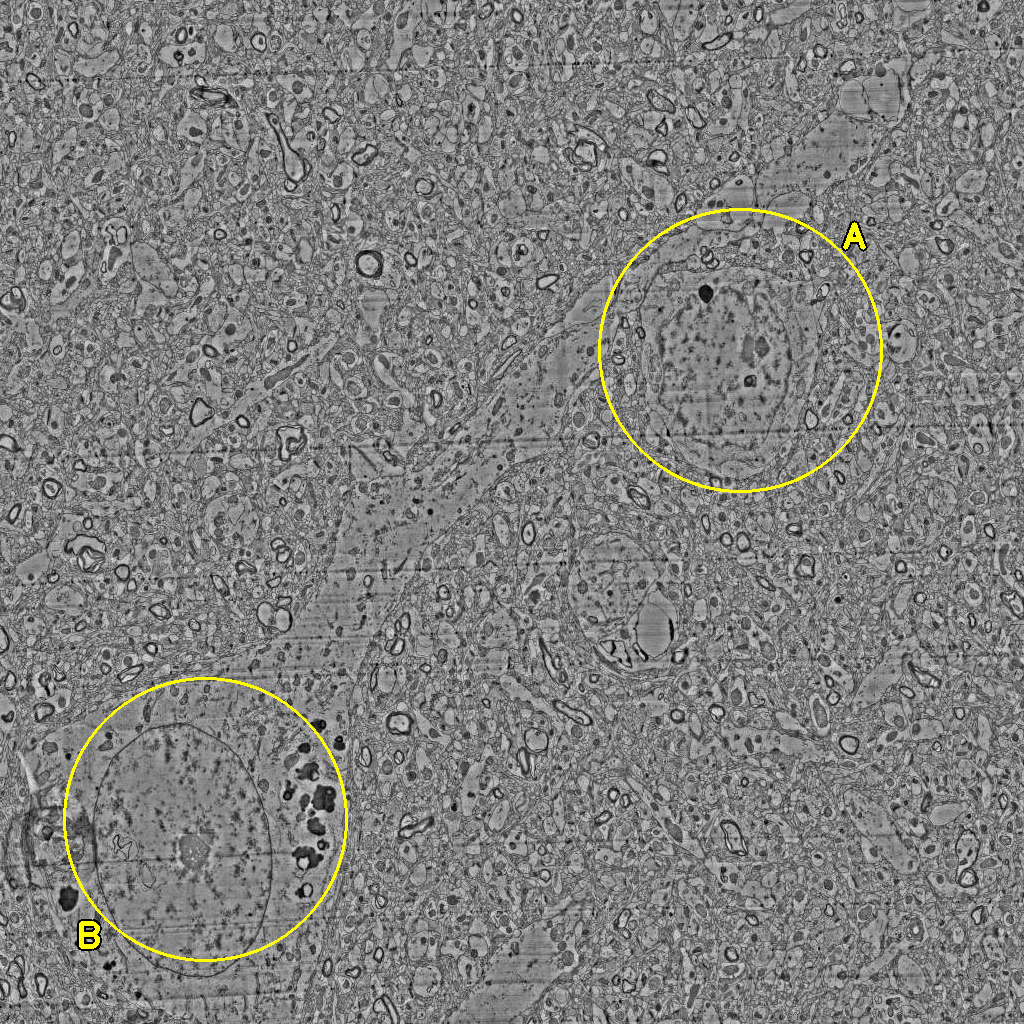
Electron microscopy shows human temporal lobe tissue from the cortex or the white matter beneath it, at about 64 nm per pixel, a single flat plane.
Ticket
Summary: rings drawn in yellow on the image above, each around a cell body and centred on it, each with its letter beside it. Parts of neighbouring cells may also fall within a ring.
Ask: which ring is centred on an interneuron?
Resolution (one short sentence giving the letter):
The ring marked A is centred on it.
